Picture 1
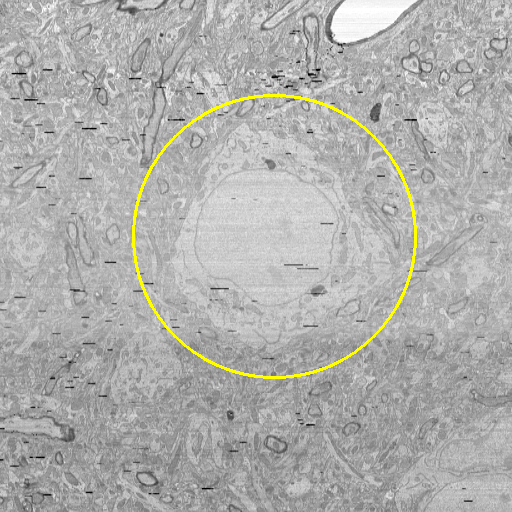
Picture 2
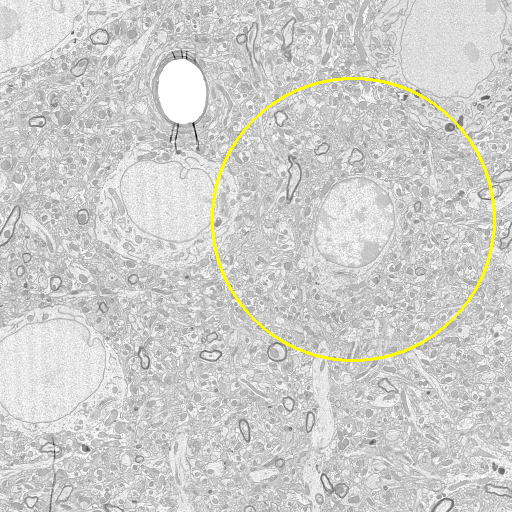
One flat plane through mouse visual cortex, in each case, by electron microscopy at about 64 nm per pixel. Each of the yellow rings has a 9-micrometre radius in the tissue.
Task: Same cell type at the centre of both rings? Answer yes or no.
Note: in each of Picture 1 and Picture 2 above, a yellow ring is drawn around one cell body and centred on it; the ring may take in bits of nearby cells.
no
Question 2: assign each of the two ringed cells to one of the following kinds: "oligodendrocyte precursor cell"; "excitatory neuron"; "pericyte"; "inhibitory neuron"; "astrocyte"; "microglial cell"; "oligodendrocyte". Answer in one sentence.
The two cells are an excitatory neuron in the first picture and an oligodendrocyte in the second.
